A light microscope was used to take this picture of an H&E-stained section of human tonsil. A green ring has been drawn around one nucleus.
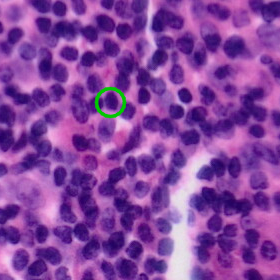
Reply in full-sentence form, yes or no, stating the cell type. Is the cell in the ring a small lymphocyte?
Yes, it holds that the cell in the ring is a small lymphocyte.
